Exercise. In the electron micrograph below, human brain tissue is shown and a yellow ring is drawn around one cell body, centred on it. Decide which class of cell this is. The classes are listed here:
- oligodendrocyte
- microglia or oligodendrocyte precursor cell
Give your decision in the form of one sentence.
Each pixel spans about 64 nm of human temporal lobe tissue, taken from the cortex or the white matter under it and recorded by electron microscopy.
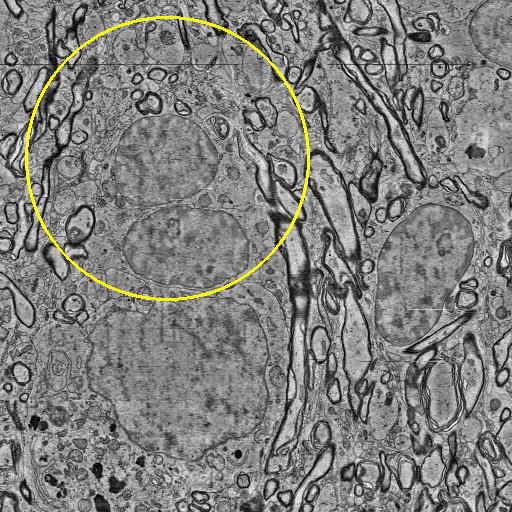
The cell body marked by the ring belongs to an oligodendrocyte.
